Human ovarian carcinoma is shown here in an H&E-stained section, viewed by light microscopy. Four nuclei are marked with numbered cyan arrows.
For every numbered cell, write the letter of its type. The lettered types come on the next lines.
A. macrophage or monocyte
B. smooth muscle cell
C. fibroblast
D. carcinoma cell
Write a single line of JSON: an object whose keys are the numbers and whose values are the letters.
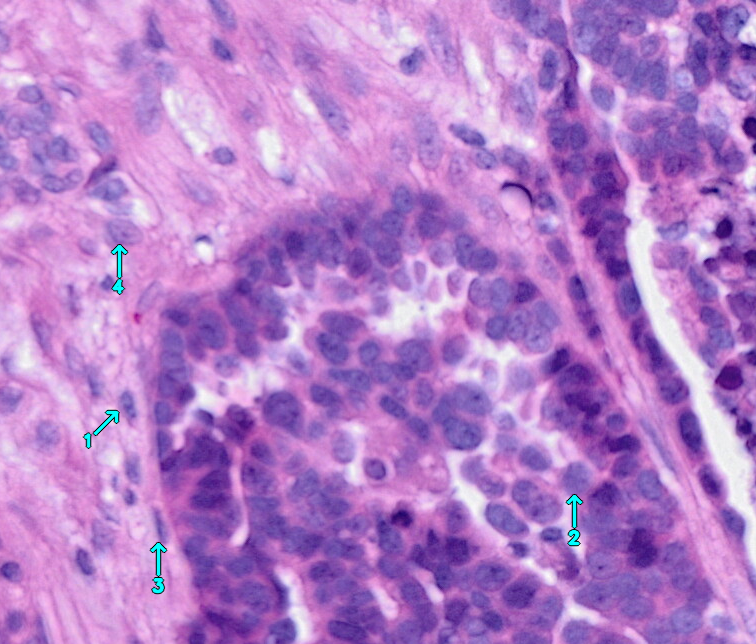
{"1": "A", "2": "D", "3": "A", "4": "C"}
